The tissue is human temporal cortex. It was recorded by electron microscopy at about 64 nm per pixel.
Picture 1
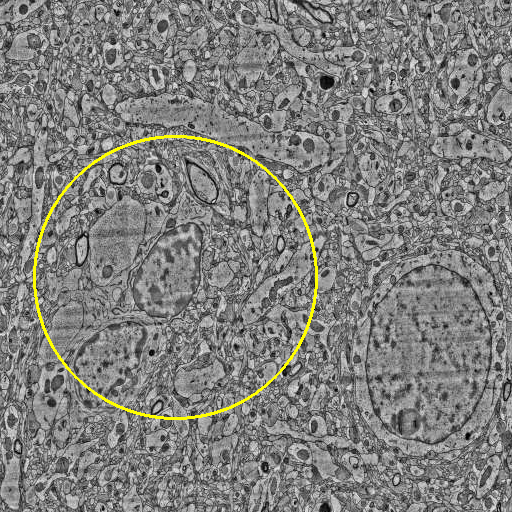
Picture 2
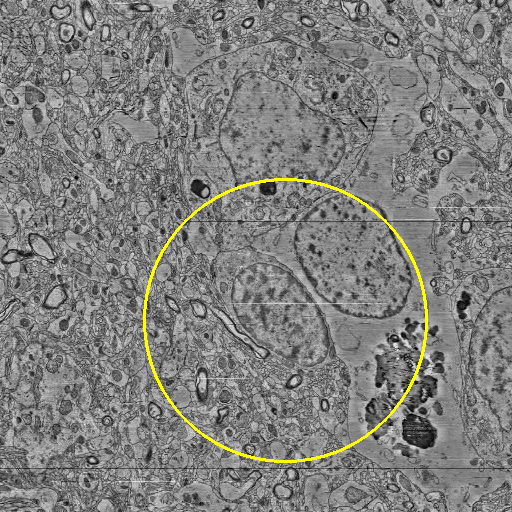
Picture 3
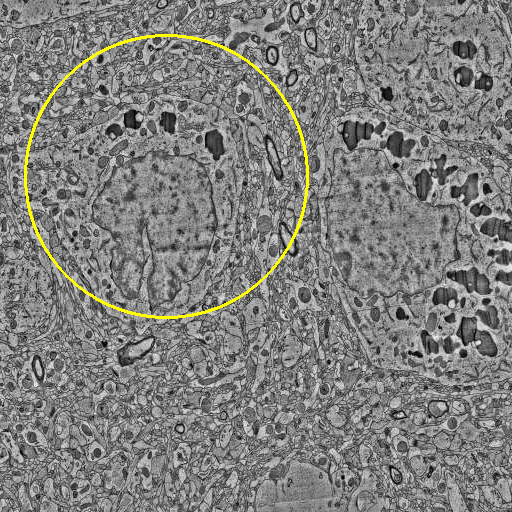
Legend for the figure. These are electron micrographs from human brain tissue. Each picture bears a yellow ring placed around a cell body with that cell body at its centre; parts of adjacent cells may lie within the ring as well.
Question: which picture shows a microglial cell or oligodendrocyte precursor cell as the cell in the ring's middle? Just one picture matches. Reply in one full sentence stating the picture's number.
It is picture 1 whose yellow ring is centred on the requested cell.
